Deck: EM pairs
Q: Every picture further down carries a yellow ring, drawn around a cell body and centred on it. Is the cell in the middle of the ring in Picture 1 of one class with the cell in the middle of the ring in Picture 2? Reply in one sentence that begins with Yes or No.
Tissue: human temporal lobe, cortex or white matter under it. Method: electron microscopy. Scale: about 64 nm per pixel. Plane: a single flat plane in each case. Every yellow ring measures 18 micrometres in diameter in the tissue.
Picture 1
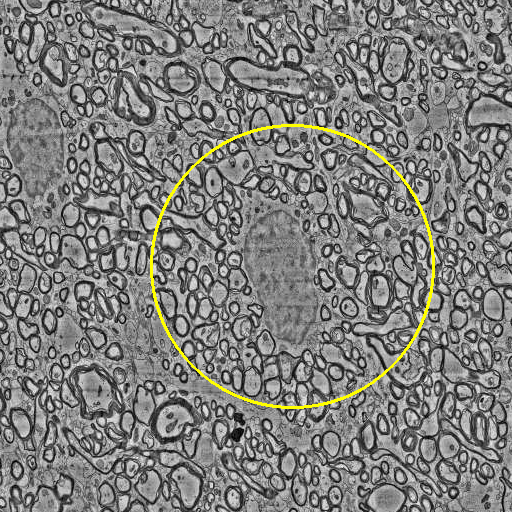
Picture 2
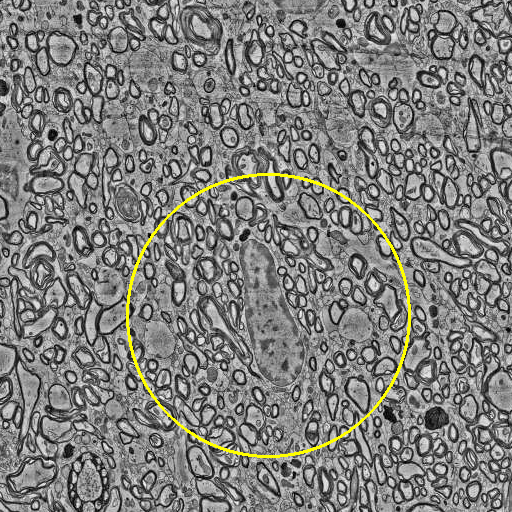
No, the cell centred in the ring of Picture 1 and the one in Picture 2 belong to separate classes.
